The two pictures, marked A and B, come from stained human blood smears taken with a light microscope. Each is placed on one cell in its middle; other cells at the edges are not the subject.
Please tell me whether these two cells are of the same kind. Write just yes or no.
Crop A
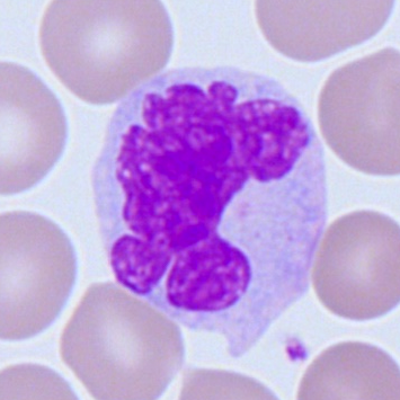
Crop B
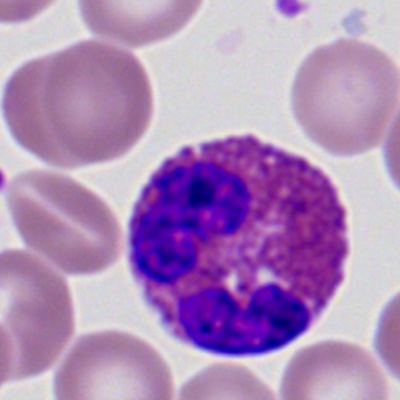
no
